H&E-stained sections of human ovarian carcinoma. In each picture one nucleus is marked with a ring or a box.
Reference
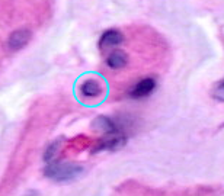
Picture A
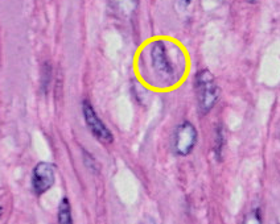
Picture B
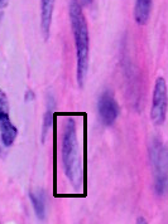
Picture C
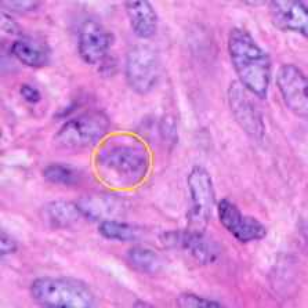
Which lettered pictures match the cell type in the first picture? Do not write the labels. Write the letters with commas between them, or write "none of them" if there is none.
B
